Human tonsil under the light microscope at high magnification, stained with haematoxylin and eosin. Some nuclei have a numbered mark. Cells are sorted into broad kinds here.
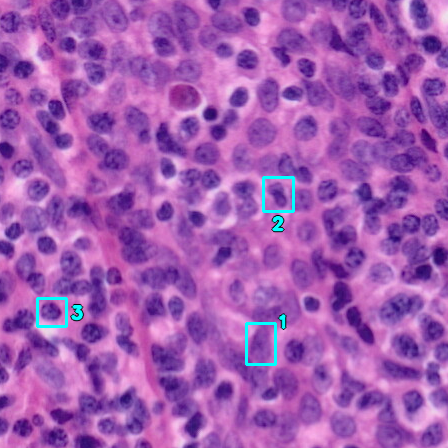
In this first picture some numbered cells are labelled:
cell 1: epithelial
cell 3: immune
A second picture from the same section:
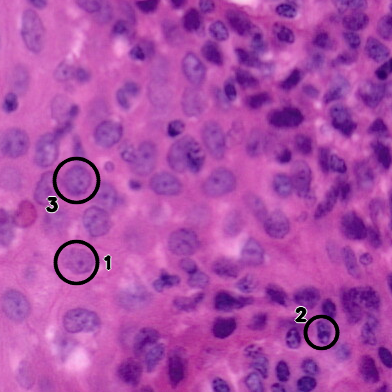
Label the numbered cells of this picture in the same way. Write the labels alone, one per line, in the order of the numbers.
epithelial
immune
epithelial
